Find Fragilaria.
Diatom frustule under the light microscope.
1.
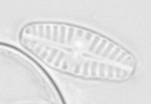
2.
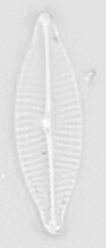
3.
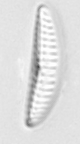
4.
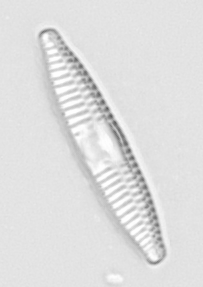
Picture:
4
